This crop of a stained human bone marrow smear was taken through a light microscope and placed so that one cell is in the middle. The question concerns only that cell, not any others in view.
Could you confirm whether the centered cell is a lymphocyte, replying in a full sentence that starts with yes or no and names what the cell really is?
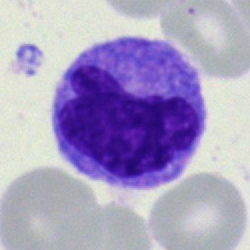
No, in the middle of the crop there is a monocyte rather than a lymphocyte.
